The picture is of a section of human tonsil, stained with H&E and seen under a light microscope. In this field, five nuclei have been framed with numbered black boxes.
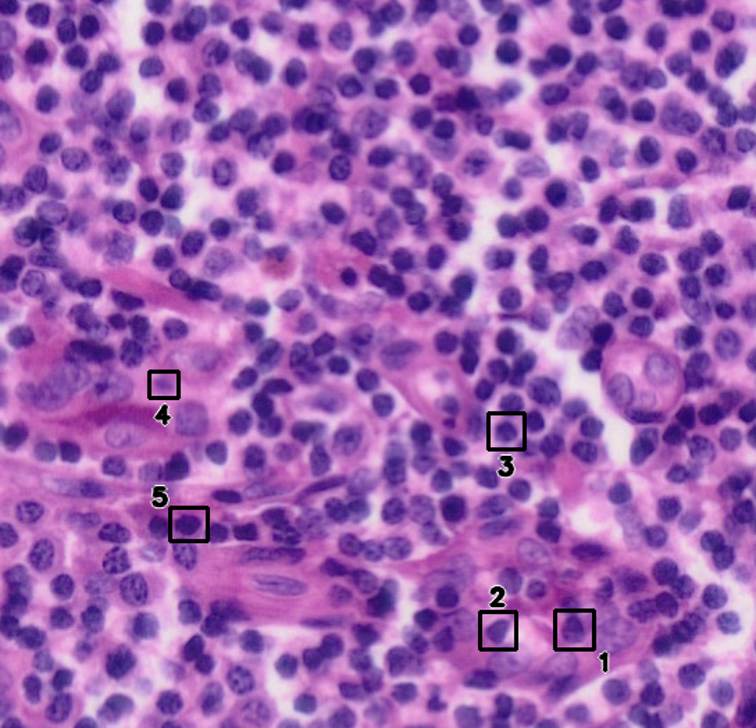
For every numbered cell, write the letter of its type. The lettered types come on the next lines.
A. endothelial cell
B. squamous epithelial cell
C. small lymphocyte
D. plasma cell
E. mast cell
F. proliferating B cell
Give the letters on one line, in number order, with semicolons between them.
A; A; C; A; D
